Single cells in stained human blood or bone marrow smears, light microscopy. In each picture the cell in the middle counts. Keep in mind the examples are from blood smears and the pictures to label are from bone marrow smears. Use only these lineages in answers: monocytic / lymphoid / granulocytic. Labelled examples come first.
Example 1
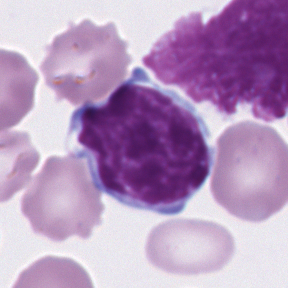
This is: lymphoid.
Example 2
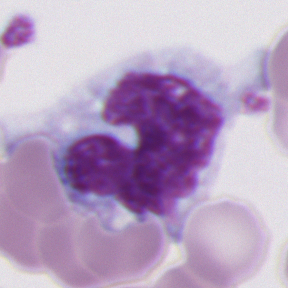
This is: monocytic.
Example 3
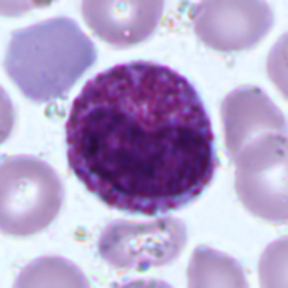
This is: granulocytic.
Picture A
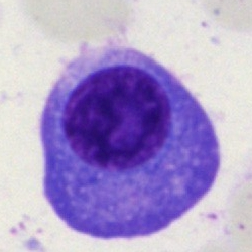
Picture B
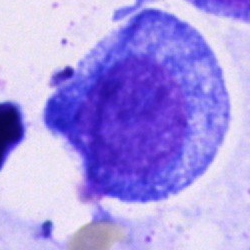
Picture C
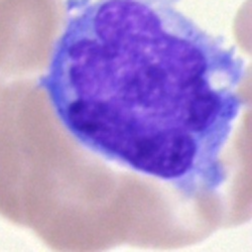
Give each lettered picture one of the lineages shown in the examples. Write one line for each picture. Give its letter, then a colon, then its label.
A: lymphoid.
B: granulocytic.
C: monocytic.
